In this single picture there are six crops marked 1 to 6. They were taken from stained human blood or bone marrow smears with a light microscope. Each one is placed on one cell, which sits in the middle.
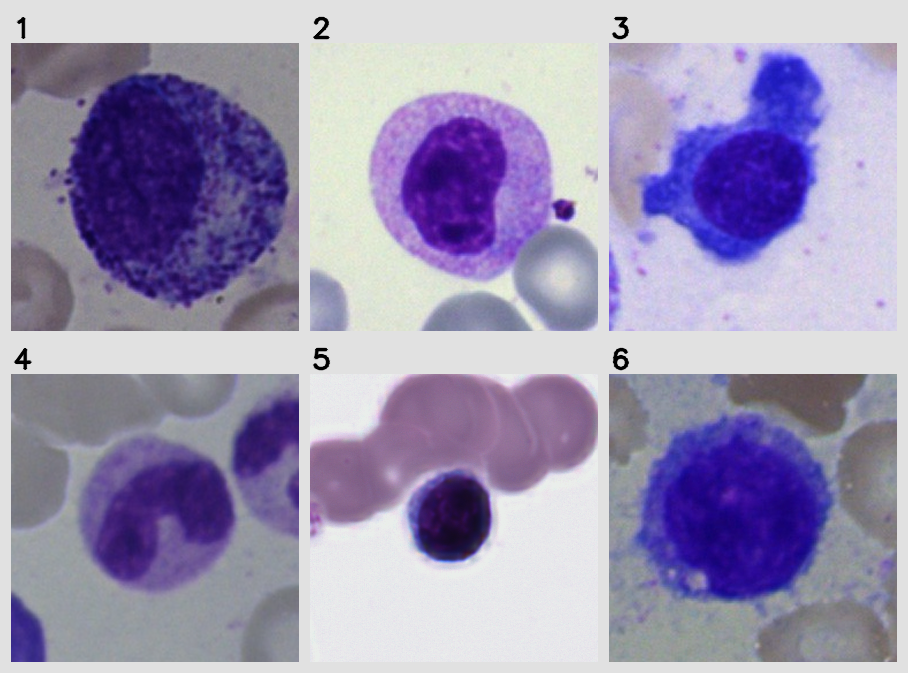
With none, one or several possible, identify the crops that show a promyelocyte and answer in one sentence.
Of the crops given, a promyelocyte is shown by crop 1 alone.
